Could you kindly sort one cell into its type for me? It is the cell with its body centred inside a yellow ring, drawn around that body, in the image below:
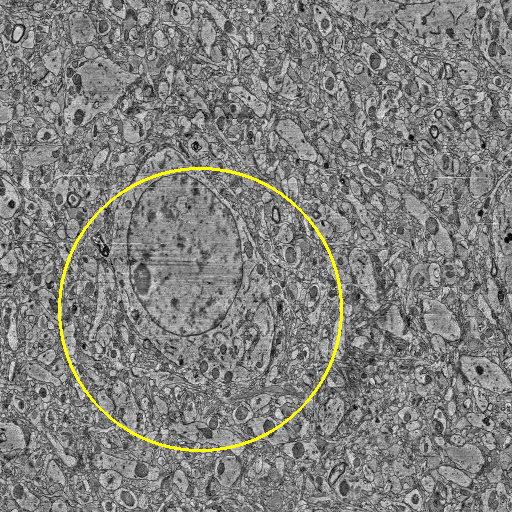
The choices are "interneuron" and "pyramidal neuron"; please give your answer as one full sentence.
The cell whose body lies centred in the yellow ring here is a pyramidal neuron.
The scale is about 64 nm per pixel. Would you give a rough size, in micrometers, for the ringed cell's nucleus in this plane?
Approximately 11 micrometres long and 7 micrometres wide, in this plane.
